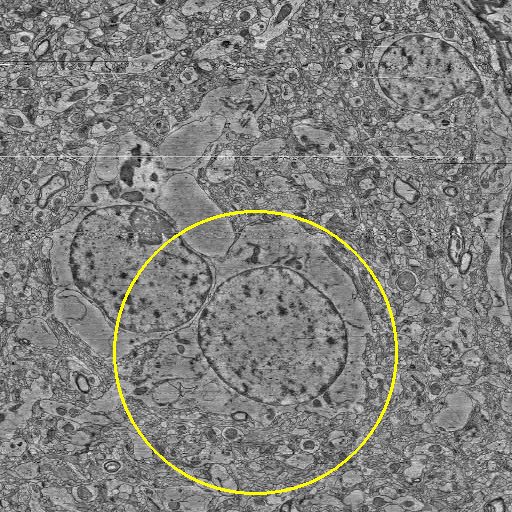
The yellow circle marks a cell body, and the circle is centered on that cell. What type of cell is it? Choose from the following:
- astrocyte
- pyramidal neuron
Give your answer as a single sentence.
This cell body belongs to an astrocyte.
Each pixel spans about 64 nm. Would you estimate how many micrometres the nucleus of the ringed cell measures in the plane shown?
Approximately 10 micrometres across, in this plane.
